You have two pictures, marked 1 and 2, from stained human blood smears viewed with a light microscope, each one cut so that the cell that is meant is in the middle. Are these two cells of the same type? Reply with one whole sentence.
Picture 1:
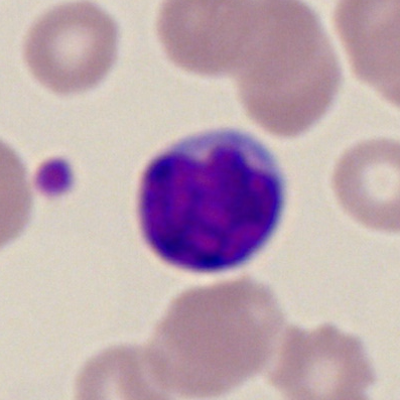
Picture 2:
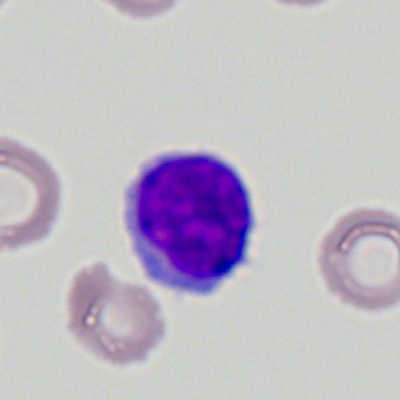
Yes, both are lymphocytes.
